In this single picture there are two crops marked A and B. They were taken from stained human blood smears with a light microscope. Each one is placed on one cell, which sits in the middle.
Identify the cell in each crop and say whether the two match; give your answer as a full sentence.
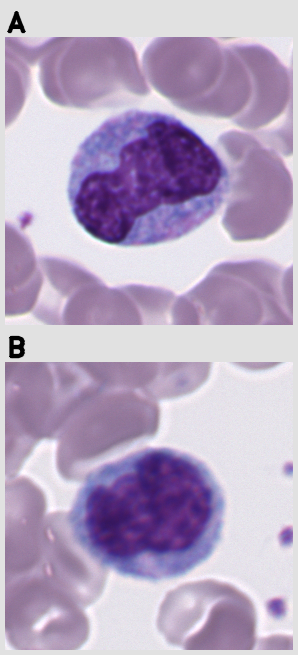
Yes, monocytes are seen in both crops.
